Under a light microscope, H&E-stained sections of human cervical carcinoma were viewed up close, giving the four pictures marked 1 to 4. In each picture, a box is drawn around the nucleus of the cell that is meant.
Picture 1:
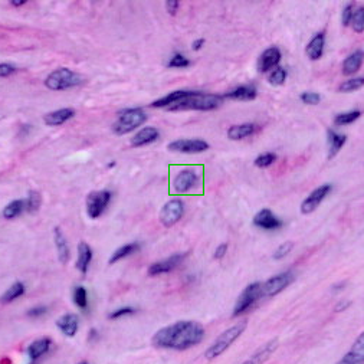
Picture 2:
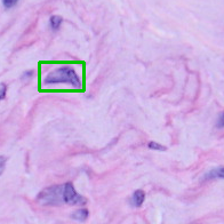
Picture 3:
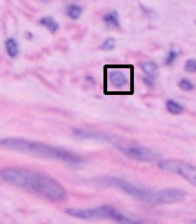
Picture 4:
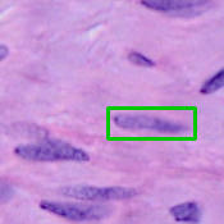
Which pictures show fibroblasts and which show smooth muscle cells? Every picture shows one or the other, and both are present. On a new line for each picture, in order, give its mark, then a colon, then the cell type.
1: smooth muscle cell
2: smooth muscle cell
3: smooth muscle cell
4: fibroblast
